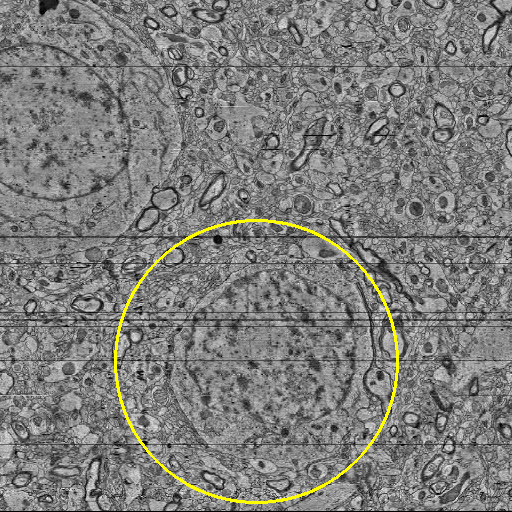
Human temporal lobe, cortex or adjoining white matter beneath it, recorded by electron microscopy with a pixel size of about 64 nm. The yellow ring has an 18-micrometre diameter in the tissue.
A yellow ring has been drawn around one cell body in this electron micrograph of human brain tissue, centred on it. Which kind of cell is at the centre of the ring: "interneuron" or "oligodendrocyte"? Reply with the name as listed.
interneuron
